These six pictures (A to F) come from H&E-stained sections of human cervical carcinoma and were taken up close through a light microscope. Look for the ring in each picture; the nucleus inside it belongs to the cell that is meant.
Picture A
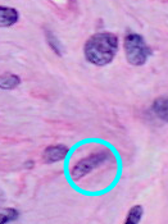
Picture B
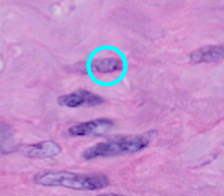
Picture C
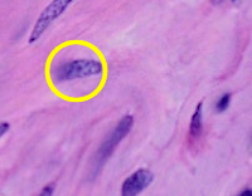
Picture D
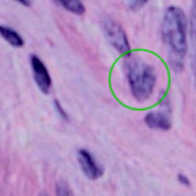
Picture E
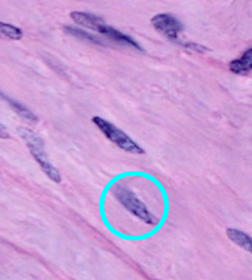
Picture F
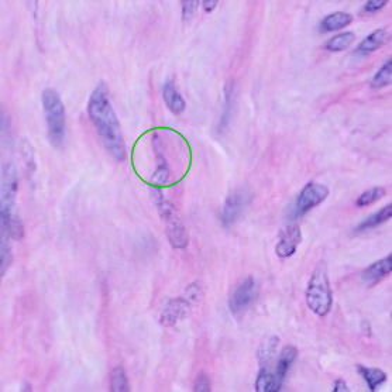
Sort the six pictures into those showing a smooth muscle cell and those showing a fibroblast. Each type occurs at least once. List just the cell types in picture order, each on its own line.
smooth muscle cell
smooth muscle cell
fibroblast
smooth muscle cell
fibroblast
smooth muscle cell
